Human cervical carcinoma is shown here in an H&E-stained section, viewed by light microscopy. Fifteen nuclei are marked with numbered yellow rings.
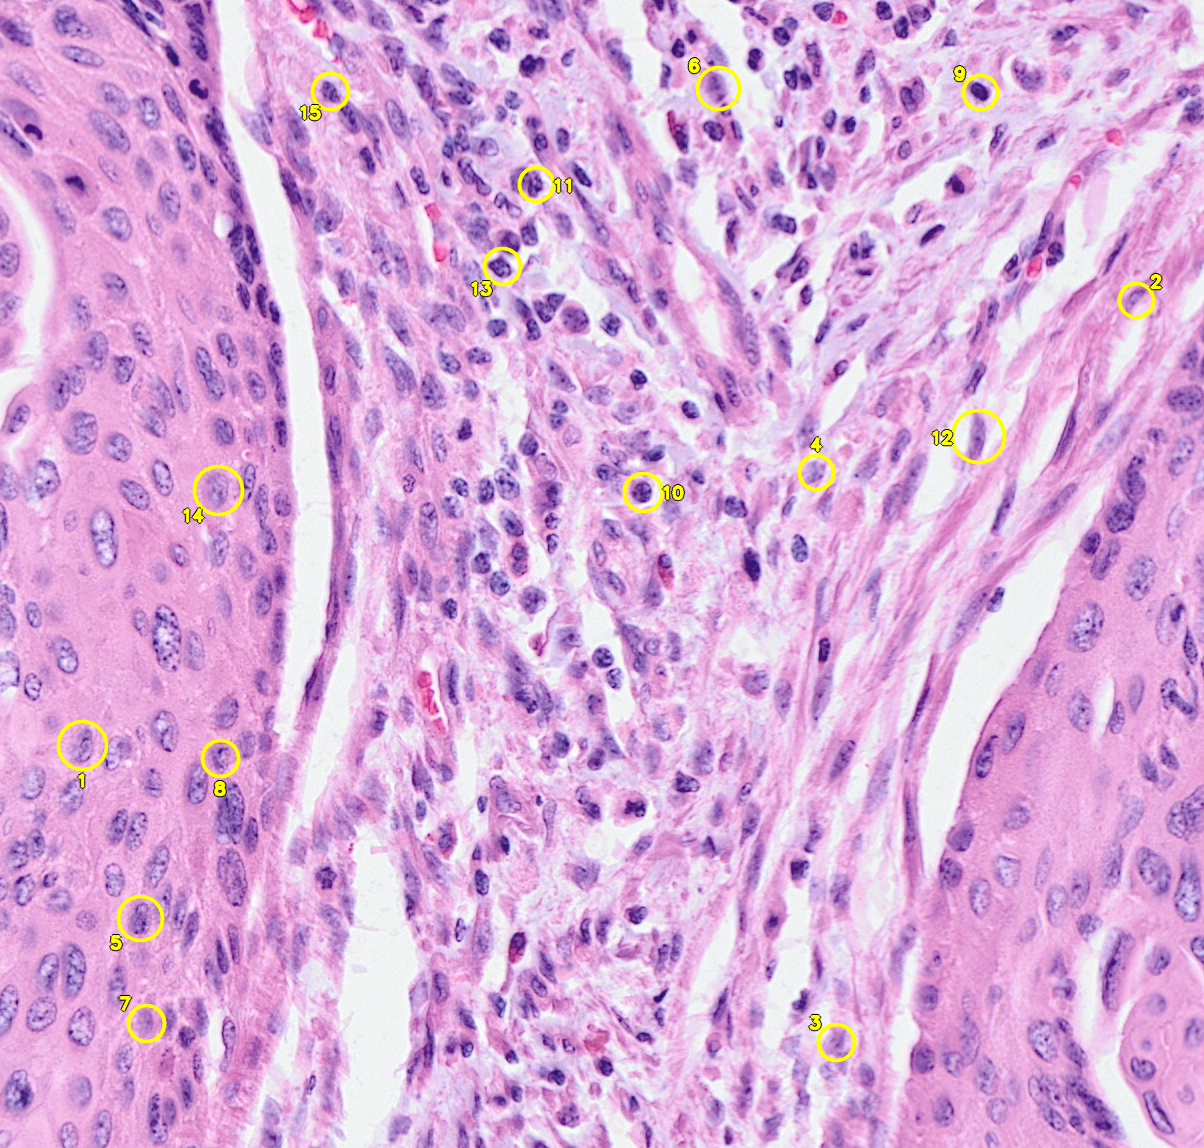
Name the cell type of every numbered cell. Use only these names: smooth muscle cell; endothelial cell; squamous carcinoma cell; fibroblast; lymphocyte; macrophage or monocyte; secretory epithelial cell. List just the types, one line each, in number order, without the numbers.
squamous carcinoma cell
fibroblast
fibroblast
fibroblast
squamous carcinoma cell
macrophage or monocyte
squamous carcinoma cell
squamous carcinoma cell
lymphocyte
lymphocyte
lymphocyte
fibroblast
lymphocyte
squamous carcinoma cell
lymphocyte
